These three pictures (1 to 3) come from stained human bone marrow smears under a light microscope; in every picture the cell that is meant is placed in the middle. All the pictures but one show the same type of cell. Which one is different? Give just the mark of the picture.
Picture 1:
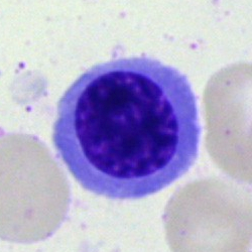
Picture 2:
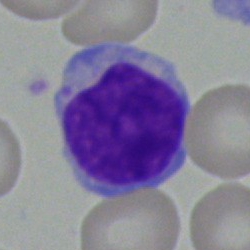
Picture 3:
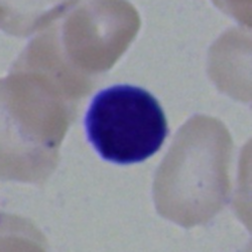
1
